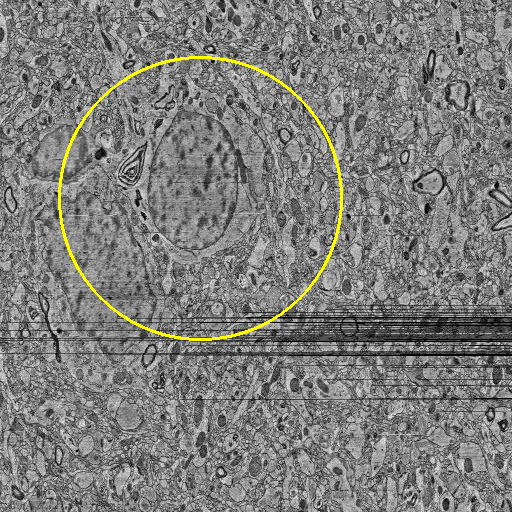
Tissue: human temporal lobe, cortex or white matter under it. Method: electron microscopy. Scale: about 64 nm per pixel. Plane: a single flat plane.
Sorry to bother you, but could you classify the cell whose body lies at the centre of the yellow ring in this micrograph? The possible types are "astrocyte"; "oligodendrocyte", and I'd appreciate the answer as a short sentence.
The ringed cell body is that of an astrocyte.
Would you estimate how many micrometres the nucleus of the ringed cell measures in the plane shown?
About 9 by 6 micrometers in this plane, so the nucleus is clearly longer than it is wide.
